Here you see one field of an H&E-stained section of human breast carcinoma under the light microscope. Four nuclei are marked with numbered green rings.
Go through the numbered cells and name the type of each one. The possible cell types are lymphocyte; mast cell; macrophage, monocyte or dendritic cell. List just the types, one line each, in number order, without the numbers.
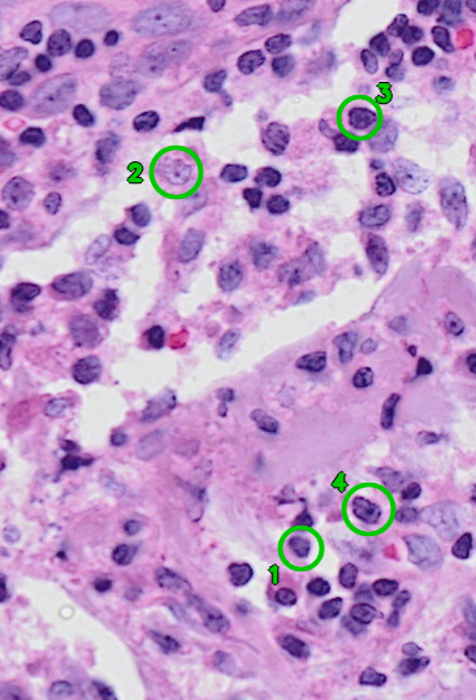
lymphocyte
macrophage, monocyte or dendritic cell
lymphocyte
lymphocyte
